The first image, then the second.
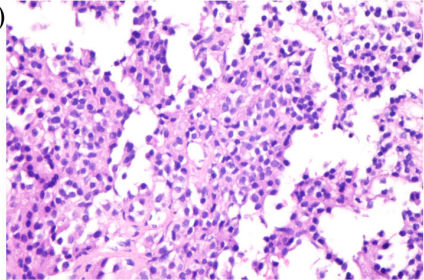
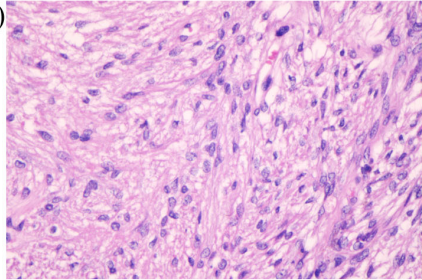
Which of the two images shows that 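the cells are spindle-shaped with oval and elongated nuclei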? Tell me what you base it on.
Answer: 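Second image: elongated cells with oval to spindle nuclei in pink fibrillar cytoplasm.
Hence: the second image.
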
